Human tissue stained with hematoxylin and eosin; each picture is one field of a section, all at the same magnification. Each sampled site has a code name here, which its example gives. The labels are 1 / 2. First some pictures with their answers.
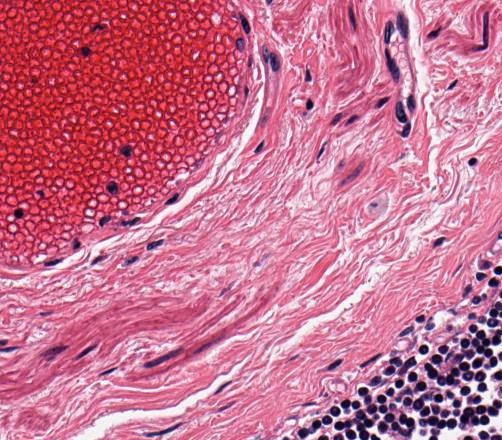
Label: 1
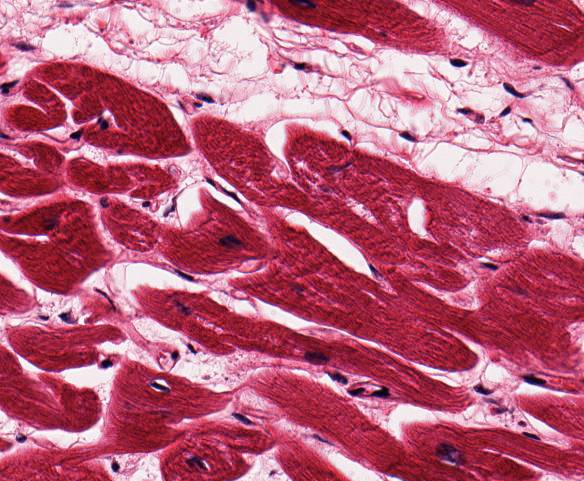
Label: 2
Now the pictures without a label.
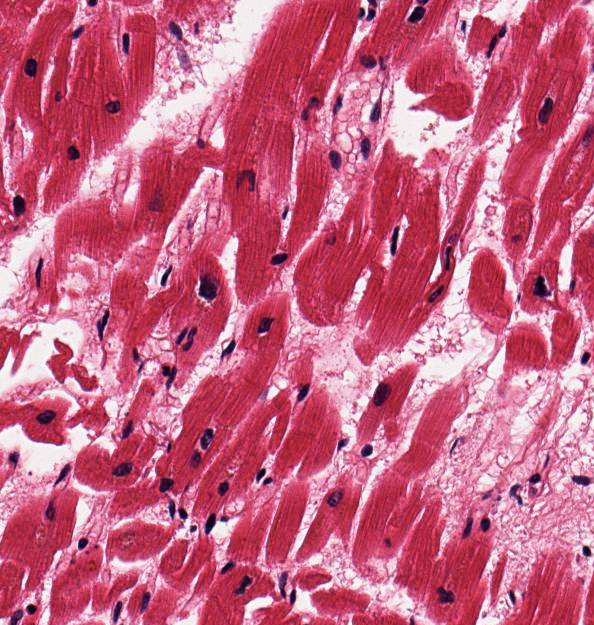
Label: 2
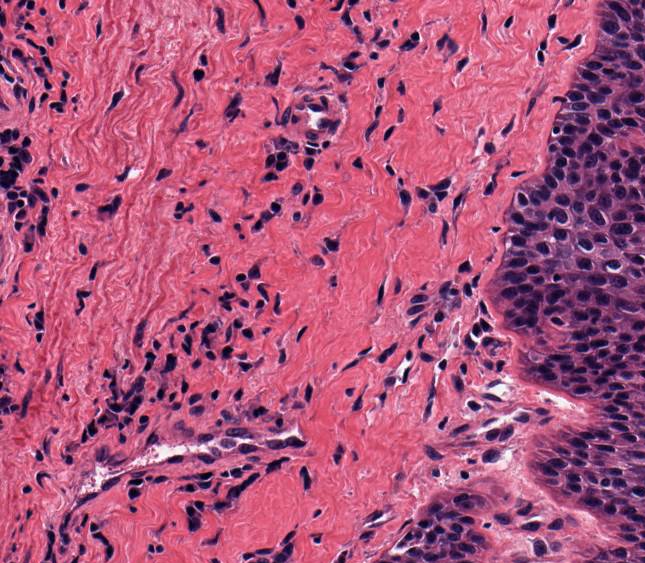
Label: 1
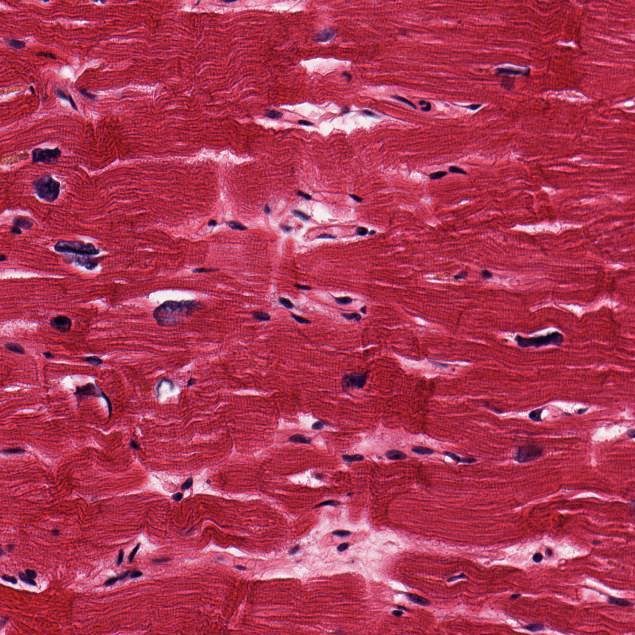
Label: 2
